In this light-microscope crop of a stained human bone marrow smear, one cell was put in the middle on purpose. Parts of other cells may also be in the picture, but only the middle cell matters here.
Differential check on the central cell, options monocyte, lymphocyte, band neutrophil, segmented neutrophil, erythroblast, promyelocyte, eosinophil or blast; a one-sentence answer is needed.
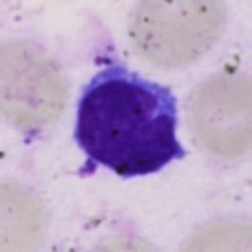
The centrally located cell in the crop is a lymphocyte.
